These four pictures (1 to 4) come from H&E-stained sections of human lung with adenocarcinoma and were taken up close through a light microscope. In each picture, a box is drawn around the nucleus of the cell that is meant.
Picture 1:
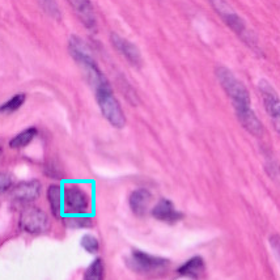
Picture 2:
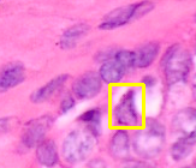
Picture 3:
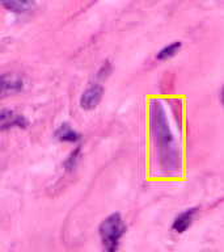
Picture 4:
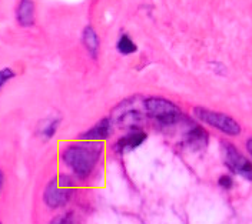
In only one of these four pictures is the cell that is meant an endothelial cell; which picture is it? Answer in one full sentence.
The cell in picture 3 is the endothelial cell.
